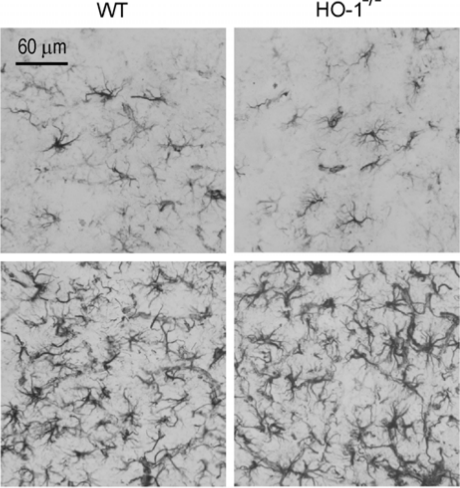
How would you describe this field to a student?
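Four fields of brain tissue show dark grey, star-shaped cells with small bodies and thin branching processes radiating outward, scattered singly over a pale background. In the lower two fields these cells are more numerous and their processes are thicker, longer and more densely interwoven than in the upper two. The star-shaped cells are astroglia, and the lower fields show them activated, with enlarged, darker processes.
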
